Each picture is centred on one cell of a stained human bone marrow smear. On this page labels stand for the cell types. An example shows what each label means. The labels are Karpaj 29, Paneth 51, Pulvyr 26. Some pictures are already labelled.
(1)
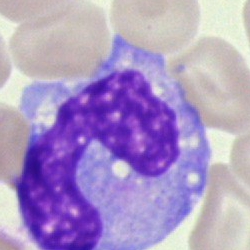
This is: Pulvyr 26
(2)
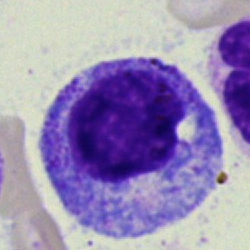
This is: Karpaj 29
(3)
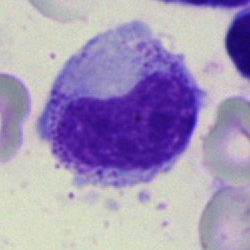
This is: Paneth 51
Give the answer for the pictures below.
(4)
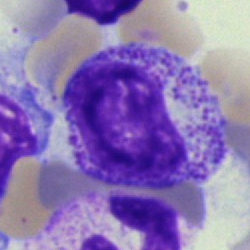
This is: Karpaj 29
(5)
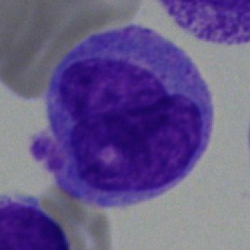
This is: Pulvyr 26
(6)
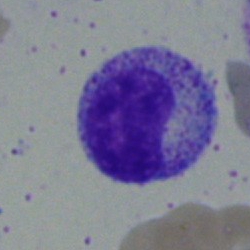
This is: Karpaj 29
